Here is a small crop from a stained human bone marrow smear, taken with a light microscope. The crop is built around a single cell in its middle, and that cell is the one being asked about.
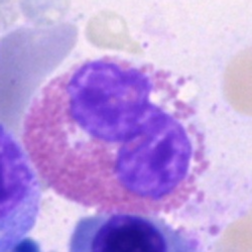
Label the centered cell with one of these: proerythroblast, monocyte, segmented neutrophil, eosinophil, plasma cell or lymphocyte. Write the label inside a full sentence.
The cell around which this crop is centred is an eosinophil.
